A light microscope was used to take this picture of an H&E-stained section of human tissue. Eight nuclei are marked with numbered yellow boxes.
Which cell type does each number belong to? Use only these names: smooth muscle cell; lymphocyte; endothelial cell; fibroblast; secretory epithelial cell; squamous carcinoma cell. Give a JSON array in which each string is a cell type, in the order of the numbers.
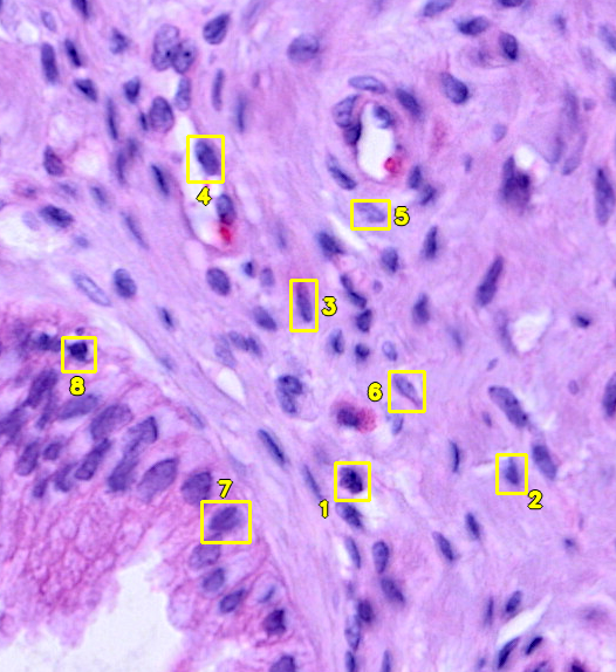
["lymphocyte", "fibroblast", "fibroblast", "endothelial cell", "fibroblast", "fibroblast", "secretory epithelial cell", "lymphocyte"]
